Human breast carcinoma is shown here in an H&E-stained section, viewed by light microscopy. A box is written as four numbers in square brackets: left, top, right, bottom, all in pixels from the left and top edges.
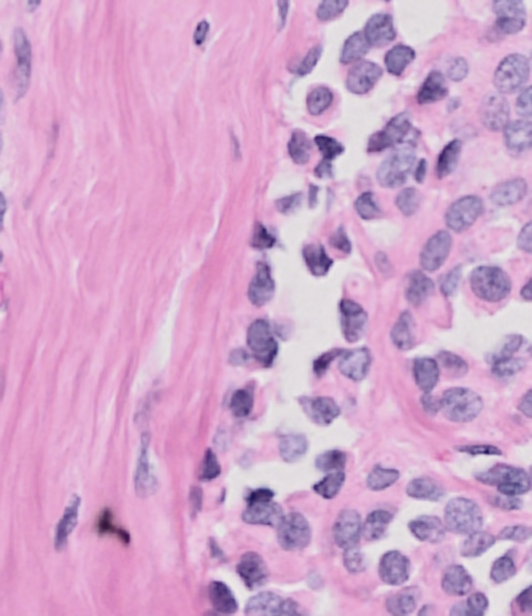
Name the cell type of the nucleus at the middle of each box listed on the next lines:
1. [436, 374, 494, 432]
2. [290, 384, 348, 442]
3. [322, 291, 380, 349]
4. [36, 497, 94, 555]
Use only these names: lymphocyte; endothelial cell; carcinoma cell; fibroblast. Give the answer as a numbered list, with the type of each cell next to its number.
1. carcinoma cell
2. carcinoma cell
3. carcinoma cell
4. fibroblast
